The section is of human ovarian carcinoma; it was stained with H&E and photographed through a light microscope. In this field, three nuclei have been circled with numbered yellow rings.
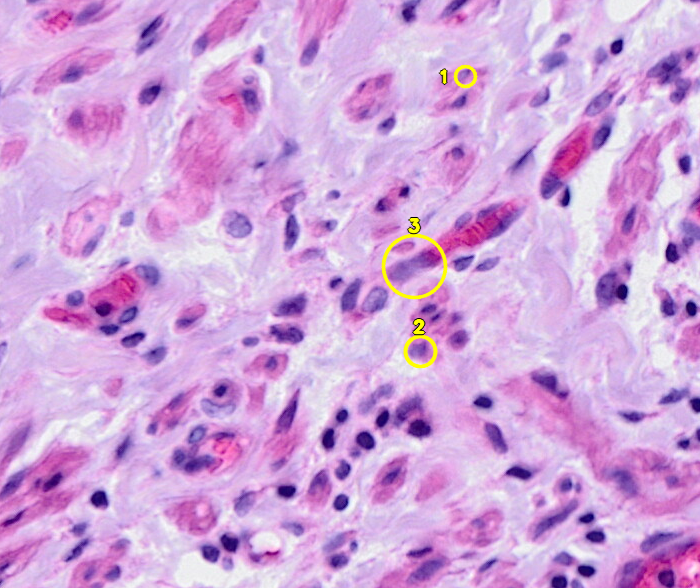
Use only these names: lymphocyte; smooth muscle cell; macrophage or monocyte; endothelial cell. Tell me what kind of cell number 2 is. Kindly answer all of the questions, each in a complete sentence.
Regarding cell 2, this one is a smooth muscle cell.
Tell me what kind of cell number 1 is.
Cell 1 should be recorded as a smooth muscle cell.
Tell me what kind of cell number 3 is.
Marked with the number 3, this cell is an endothelial cell.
